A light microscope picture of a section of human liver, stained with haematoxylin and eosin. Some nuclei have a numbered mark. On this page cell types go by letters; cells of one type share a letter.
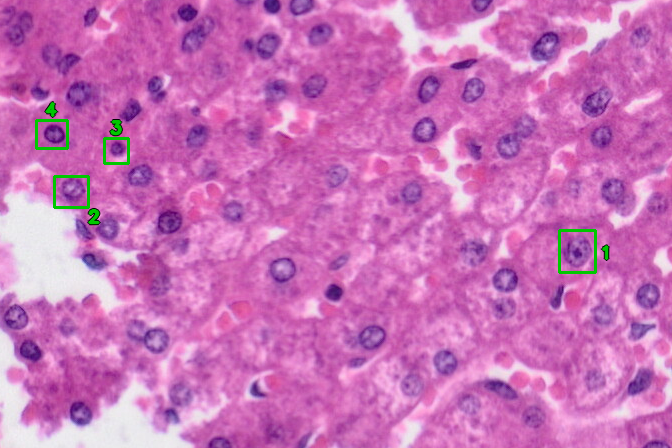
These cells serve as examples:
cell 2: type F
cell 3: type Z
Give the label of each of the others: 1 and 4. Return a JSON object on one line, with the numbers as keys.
{"1": "type F", "4": "type F"}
